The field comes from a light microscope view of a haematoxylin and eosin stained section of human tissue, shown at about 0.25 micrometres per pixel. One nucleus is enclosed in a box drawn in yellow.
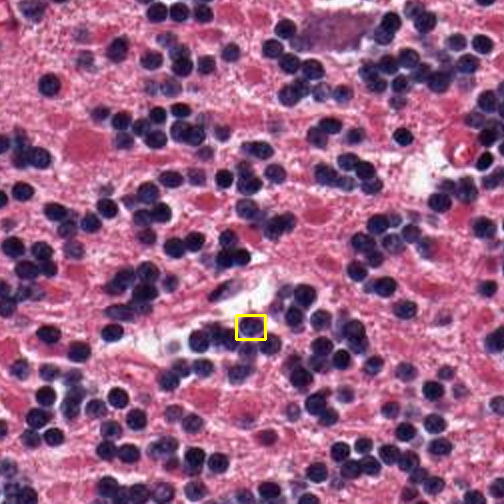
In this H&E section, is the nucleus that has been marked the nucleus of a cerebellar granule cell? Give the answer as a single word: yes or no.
yes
